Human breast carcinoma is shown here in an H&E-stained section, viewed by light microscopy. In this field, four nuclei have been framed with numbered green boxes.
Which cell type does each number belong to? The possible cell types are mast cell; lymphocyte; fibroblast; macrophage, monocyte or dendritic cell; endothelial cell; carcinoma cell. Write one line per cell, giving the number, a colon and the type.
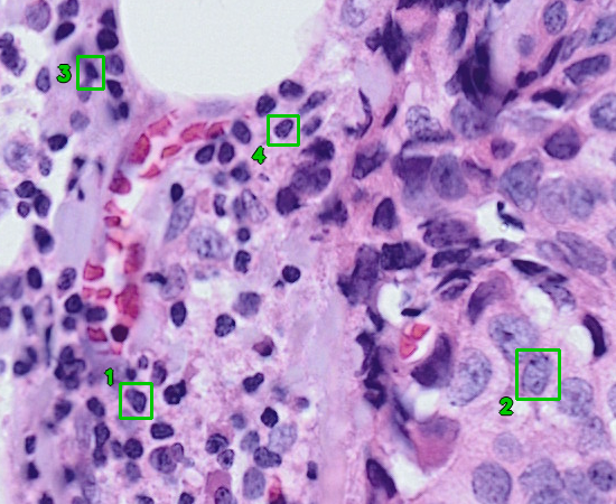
1: lymphocyte
2: carcinoma cell
3: lymphocyte
4: lymphocyte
